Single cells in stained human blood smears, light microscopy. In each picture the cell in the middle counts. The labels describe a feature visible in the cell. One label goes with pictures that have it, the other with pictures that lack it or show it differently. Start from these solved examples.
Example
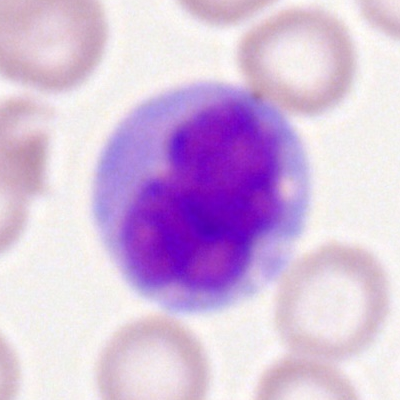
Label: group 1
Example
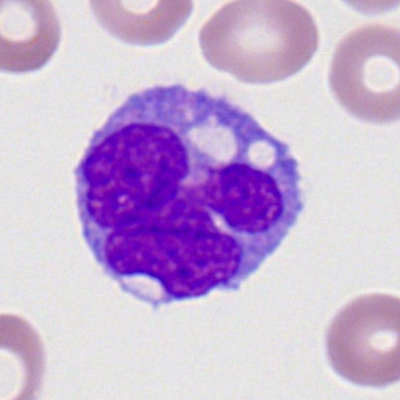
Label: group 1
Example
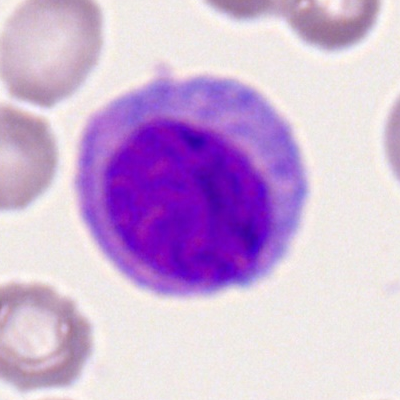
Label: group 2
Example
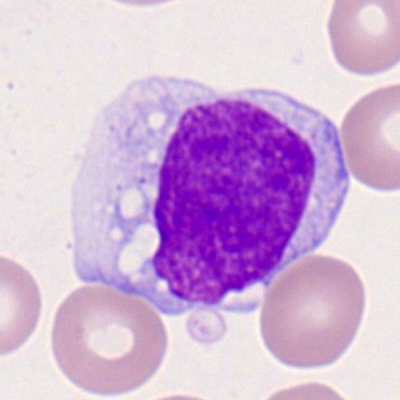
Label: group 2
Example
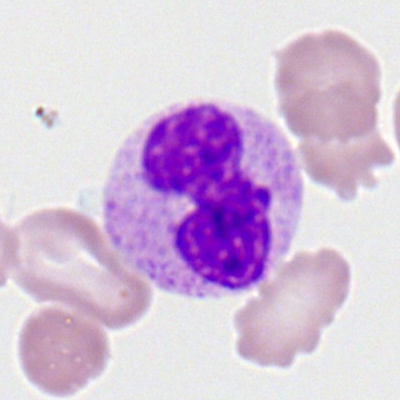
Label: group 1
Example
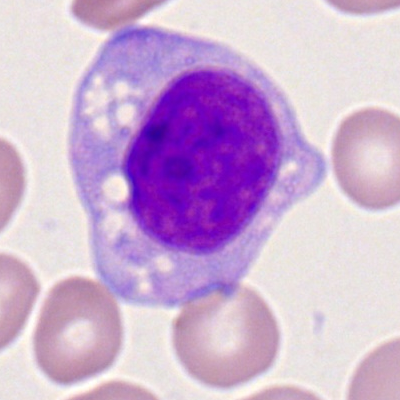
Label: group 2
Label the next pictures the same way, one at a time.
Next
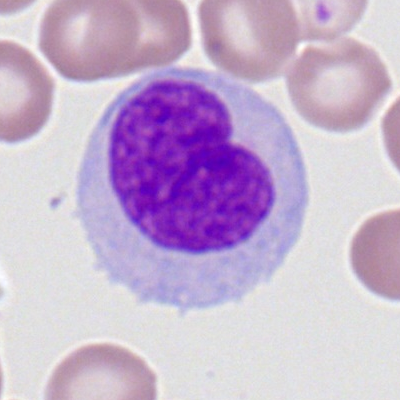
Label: group 2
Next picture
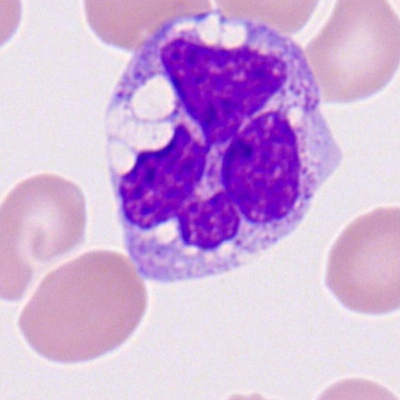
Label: group 1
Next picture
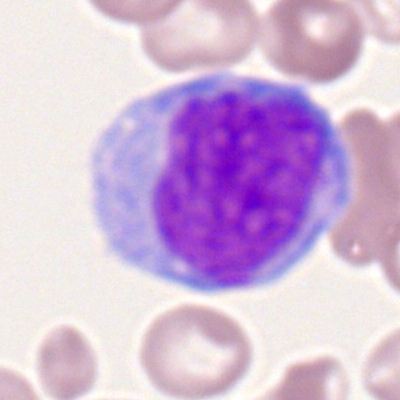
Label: group 2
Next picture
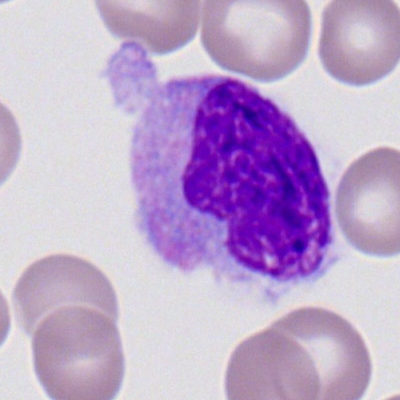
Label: group 2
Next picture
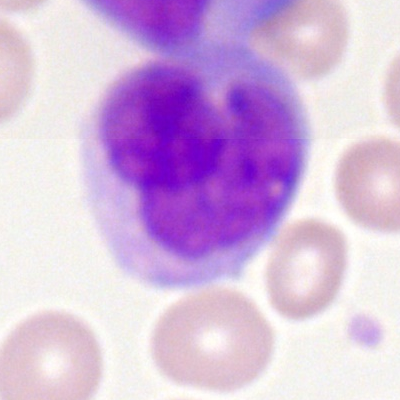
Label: group 1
